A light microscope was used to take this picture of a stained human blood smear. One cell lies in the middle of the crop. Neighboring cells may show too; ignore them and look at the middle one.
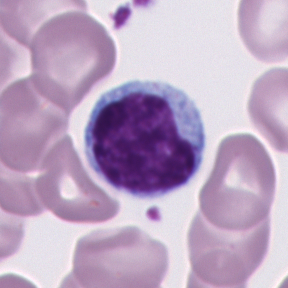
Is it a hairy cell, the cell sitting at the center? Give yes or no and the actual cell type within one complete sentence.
No, the central cell is a typical lymphocyte, not a hairy cell.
